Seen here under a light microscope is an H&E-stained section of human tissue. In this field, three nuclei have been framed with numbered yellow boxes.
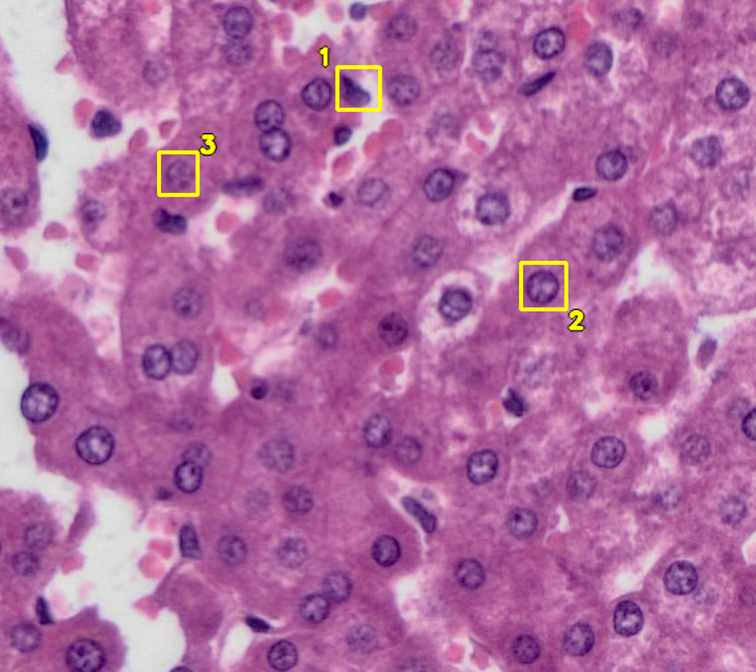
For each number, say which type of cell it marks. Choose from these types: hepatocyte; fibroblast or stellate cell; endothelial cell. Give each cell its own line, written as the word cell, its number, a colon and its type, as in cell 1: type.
cell 1: endothelial cell
cell 2: hepatocyte
cell 3: hepatocyte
